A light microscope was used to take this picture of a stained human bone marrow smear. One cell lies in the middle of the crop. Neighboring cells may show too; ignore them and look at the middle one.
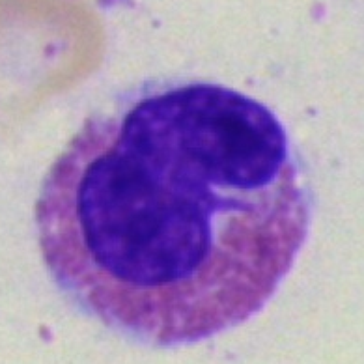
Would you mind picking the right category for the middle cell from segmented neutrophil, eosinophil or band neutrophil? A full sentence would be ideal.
The central element of this crop is a cell, namely an eosinophil.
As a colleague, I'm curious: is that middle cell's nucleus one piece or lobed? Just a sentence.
The nucleus amounts to one compact mass with a round, oval or kidney-shaped outline.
